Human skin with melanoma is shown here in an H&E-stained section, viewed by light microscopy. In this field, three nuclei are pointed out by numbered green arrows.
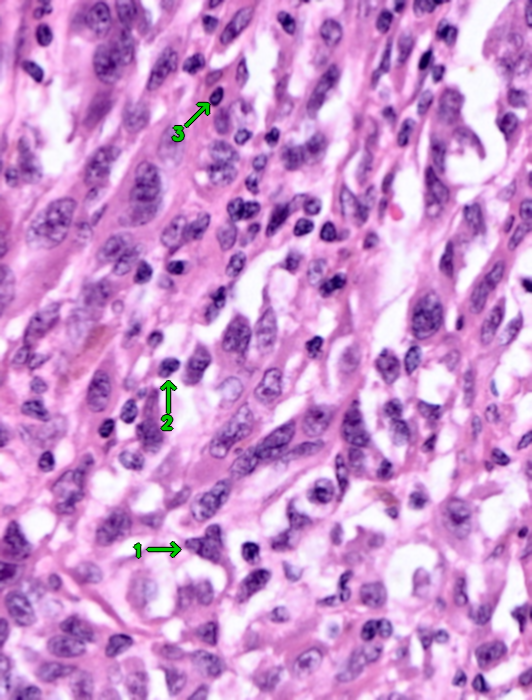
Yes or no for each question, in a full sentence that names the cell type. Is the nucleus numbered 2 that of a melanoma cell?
No, cell number 2 is a lymphocyte; it is not a melanoma cell.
